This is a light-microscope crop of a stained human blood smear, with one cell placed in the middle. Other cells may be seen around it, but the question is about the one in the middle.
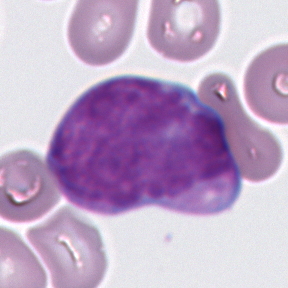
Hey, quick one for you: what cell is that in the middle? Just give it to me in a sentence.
The cell centered in this field of view is an atypical promyelocyte.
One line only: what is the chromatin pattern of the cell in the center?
The key point is fine chromatin with no coarse clumps.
